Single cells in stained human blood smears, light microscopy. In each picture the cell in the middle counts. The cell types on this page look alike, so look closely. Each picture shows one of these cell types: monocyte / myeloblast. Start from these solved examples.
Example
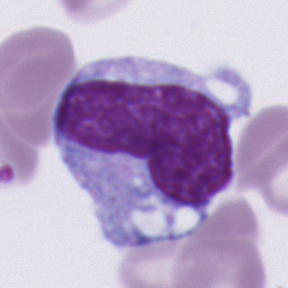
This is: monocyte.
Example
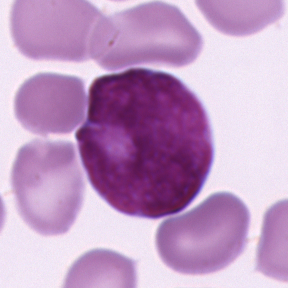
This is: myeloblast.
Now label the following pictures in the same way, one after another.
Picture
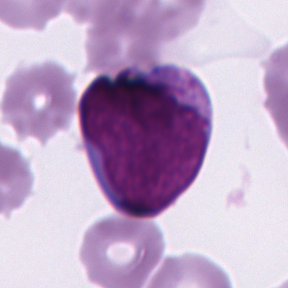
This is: myeloblast.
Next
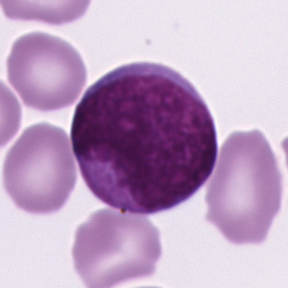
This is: myeloblast.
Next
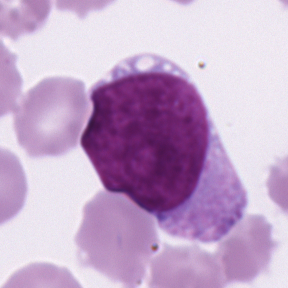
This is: myeloblast.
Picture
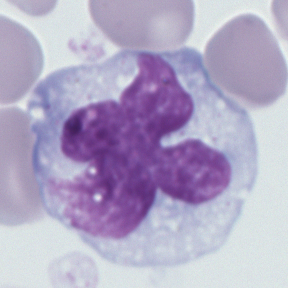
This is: monocyte.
